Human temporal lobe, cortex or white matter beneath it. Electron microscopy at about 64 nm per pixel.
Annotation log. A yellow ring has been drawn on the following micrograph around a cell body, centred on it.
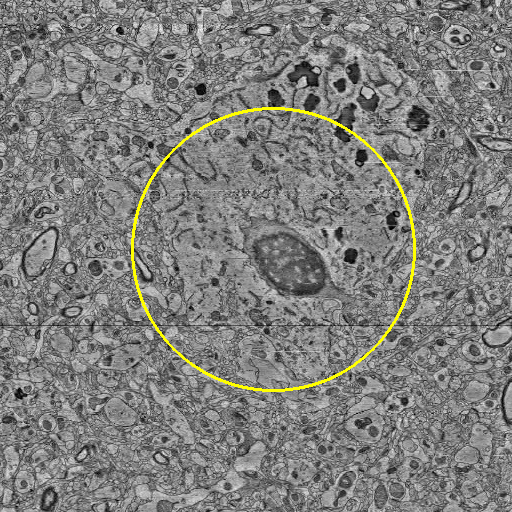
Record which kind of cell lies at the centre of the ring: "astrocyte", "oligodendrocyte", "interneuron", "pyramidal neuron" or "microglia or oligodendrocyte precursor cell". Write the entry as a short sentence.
The cell the ring is centred on is an oligodendrocyte.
